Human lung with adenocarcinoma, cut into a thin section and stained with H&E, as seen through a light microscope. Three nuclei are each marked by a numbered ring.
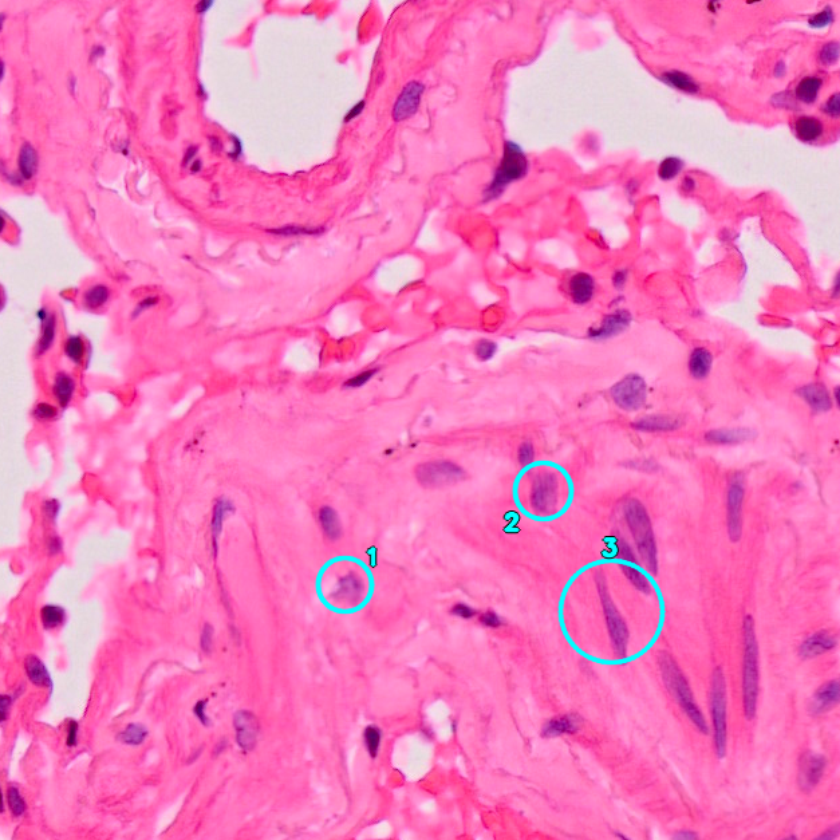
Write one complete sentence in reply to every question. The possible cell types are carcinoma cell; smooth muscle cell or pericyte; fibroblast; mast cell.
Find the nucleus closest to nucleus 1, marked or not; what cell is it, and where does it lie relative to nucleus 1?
Just above nucleus 1 lies the nearest nucleus, which belongs to a mast cell.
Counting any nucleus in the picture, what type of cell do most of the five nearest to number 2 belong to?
Smooth muscle cells or pericytes make up most of the five nuclei closest to number 2.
